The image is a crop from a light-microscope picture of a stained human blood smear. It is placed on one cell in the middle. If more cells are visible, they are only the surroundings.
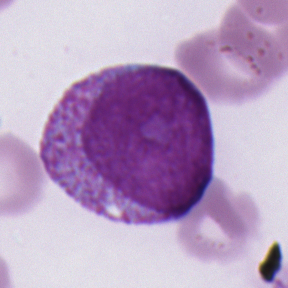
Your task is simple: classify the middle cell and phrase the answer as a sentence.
The cell of interest, in the center, is a myelocyte.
